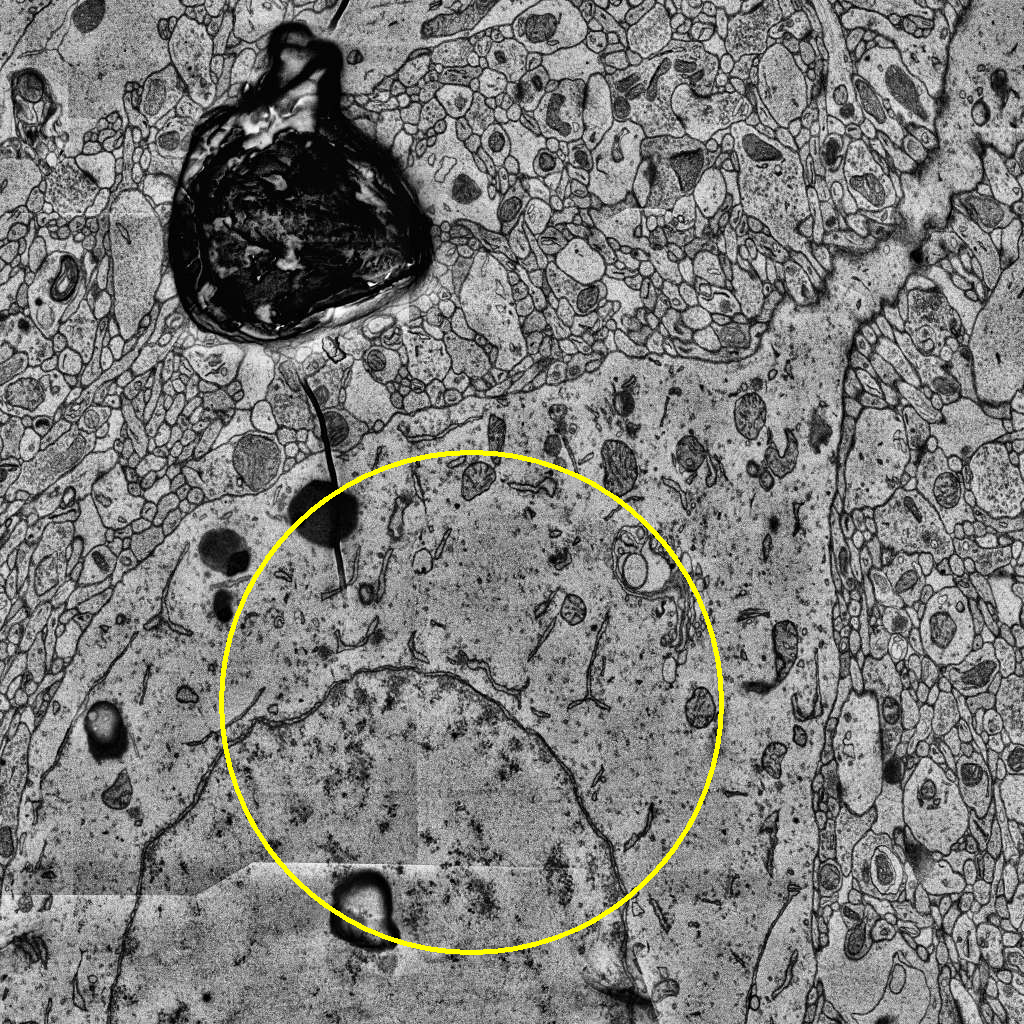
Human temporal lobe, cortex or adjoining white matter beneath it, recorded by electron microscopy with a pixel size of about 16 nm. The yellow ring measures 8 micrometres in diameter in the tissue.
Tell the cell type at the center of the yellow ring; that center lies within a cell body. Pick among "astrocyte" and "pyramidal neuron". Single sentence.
The ring's center lies in the body of a pyramidal neuron.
